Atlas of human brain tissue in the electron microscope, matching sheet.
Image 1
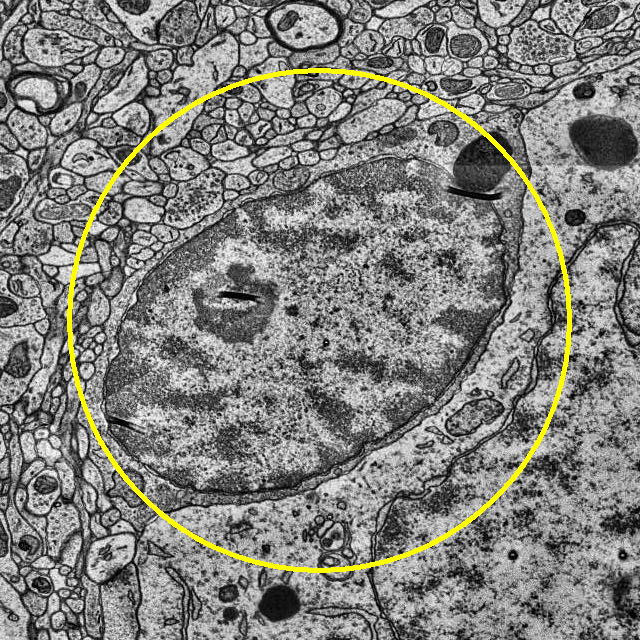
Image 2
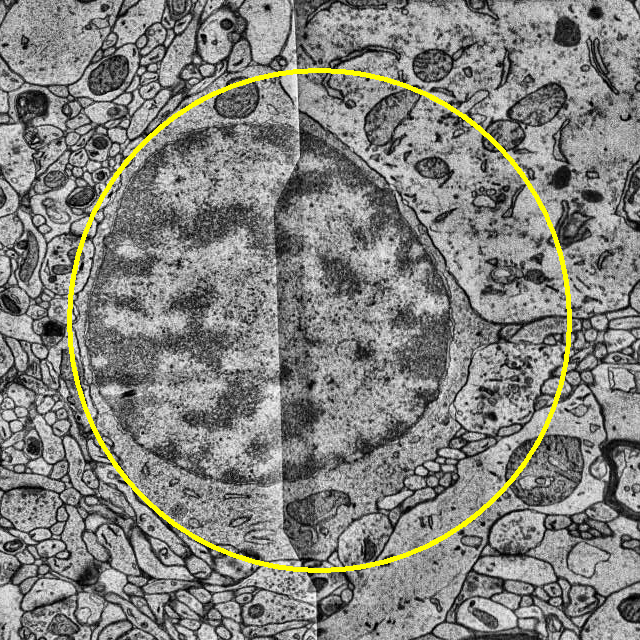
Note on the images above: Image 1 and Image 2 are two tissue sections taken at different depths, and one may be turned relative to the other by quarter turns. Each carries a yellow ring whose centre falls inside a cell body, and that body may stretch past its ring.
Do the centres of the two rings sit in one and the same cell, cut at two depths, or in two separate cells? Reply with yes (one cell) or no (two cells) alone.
no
